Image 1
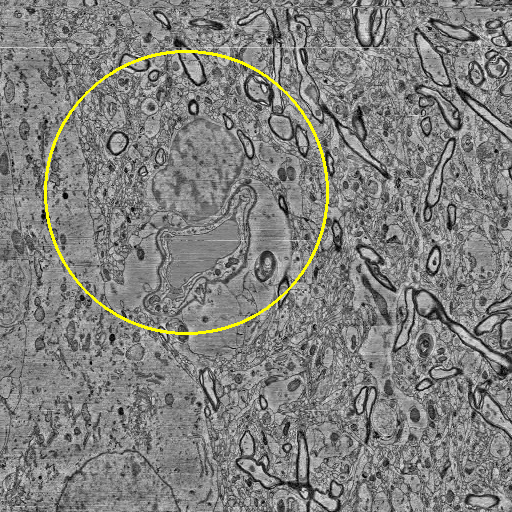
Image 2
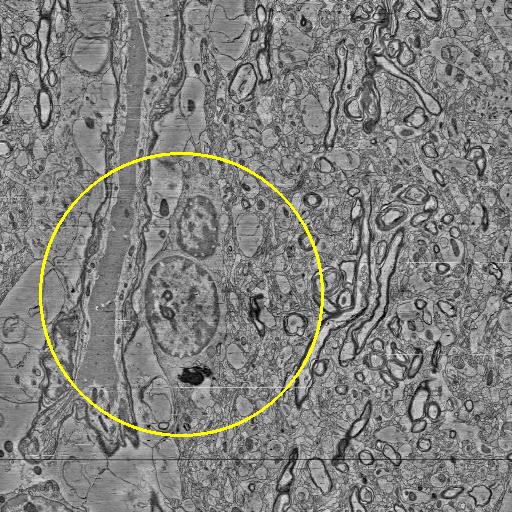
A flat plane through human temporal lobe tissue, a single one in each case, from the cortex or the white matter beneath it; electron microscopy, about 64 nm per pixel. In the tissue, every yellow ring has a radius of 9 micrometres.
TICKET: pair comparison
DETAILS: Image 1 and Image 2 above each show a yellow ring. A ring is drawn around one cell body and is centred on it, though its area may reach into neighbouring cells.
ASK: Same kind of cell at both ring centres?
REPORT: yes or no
yes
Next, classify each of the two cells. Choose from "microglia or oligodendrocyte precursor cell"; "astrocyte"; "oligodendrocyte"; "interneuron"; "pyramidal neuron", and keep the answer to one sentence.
Each of the two pictures has an oligodendrocyte at the ring centre.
